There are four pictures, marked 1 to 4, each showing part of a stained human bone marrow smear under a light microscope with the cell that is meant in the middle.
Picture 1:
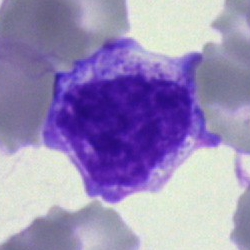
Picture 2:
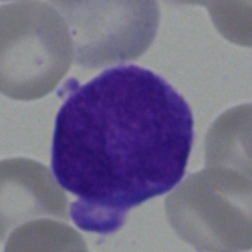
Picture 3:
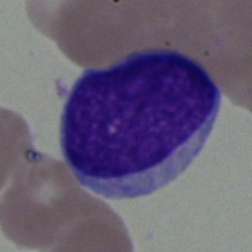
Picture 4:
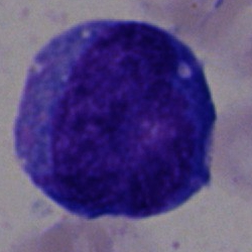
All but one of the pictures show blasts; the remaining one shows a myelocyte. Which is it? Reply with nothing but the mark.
1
